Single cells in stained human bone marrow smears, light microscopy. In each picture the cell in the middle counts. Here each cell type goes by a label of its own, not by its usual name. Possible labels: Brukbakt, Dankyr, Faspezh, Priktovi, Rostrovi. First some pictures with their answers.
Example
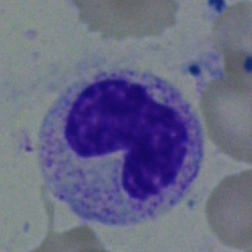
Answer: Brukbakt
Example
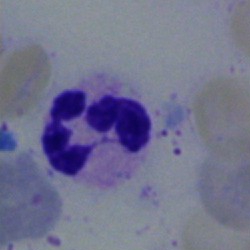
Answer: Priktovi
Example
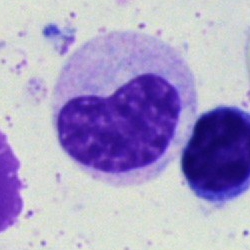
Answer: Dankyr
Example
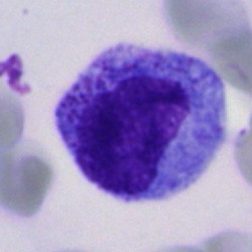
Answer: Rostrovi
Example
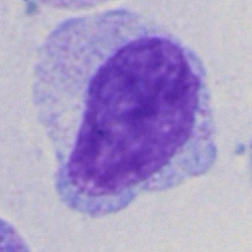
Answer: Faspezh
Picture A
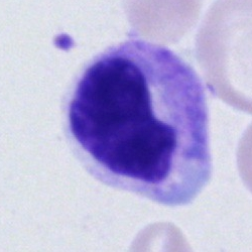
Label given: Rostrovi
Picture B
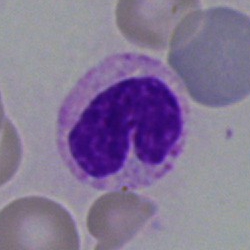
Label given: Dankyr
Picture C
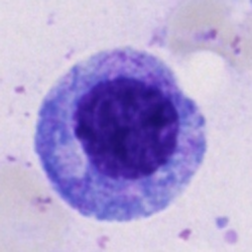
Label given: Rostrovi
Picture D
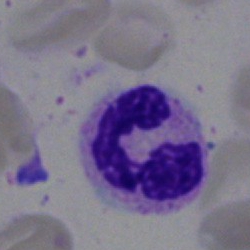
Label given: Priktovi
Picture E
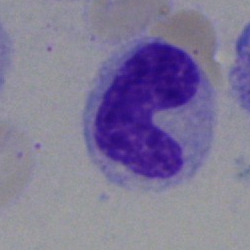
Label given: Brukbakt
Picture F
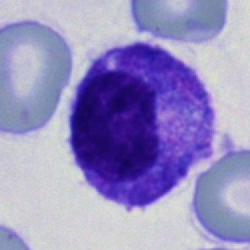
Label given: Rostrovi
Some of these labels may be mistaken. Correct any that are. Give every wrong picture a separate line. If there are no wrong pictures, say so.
A: not Rostrovi but Dankyr
B: not Dankyr but Brukbakt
